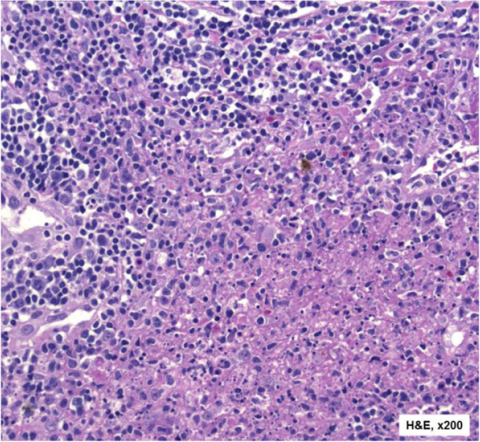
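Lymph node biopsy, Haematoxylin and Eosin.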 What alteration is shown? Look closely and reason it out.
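Coagulative necrosis. A pink, eosinophilic zone with pale, faded cells and scattered nuclear debris. No clusters of multilobed neutrophils in the pink zone.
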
